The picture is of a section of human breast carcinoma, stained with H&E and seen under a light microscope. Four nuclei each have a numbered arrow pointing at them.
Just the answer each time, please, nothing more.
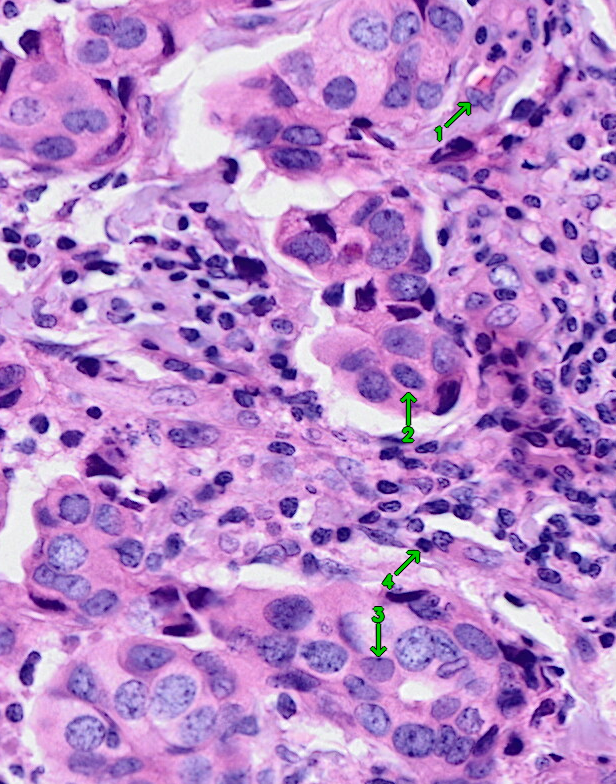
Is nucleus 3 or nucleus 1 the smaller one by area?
1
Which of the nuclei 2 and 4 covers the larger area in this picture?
2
